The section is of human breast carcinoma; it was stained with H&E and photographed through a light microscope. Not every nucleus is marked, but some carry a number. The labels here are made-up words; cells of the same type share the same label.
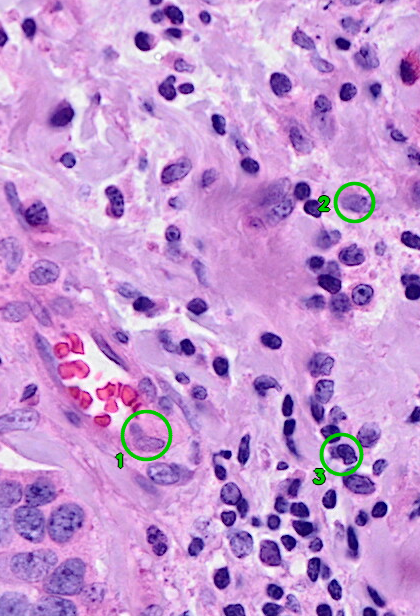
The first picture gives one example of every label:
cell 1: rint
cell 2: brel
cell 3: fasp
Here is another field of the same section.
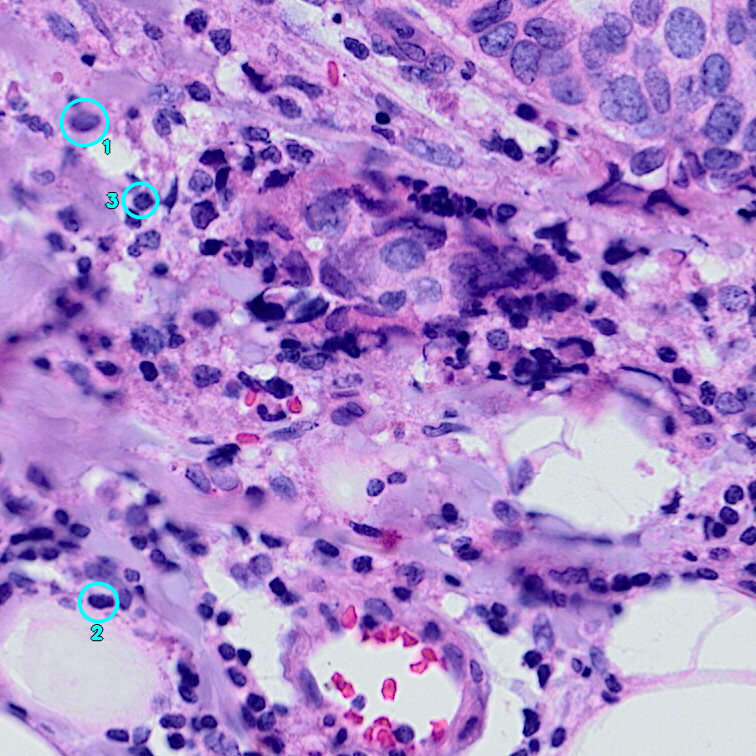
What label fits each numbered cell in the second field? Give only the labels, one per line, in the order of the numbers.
brel
fasp
fasp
